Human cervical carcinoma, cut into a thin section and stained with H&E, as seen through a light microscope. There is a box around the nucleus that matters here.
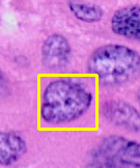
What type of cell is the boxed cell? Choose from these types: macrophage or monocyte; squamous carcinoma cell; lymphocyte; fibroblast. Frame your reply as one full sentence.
Recorded by type, the boxed cell is a squamous carcinoma cell.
